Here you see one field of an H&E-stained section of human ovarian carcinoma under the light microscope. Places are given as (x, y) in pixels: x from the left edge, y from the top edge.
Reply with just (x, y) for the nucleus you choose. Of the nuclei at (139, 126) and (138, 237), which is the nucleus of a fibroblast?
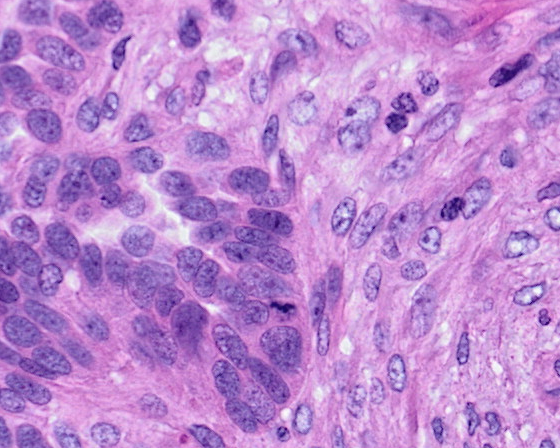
(139, 126)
